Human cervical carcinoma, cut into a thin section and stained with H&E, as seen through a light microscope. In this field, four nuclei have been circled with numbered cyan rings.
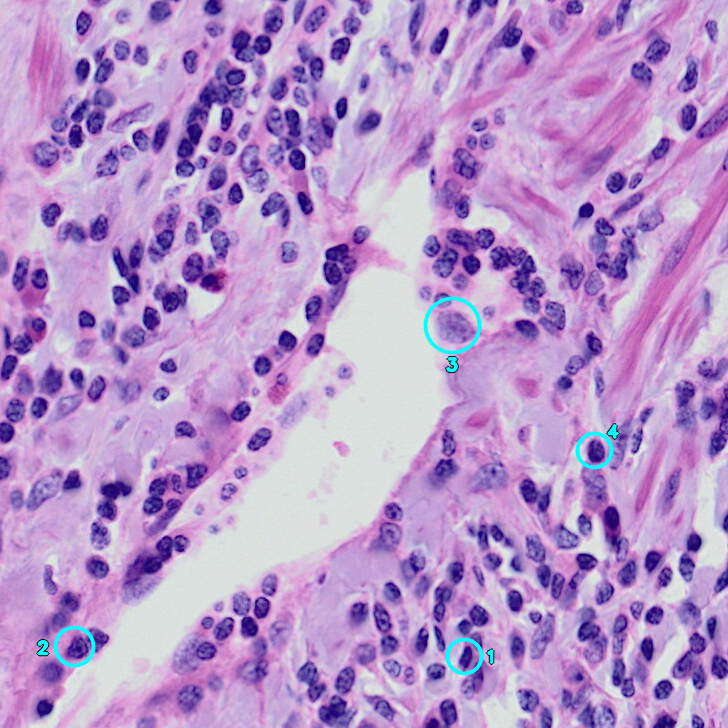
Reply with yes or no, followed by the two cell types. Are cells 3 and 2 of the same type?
No, cell 3 counts as an endothelial cell, and cell 2 counts as a lymphocyte.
